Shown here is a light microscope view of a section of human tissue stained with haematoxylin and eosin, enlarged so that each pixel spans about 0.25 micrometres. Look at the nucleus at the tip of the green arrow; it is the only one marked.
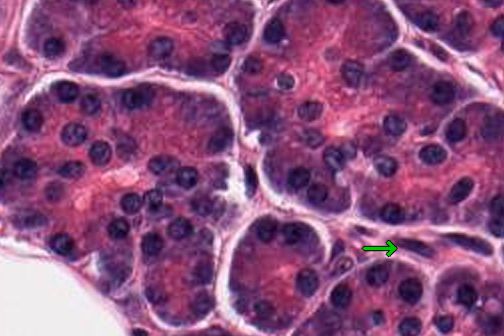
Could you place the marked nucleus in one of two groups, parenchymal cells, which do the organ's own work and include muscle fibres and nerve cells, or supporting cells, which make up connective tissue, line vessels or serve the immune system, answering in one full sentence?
Identified as a supporting cell is the cell holding the marked nucleus.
